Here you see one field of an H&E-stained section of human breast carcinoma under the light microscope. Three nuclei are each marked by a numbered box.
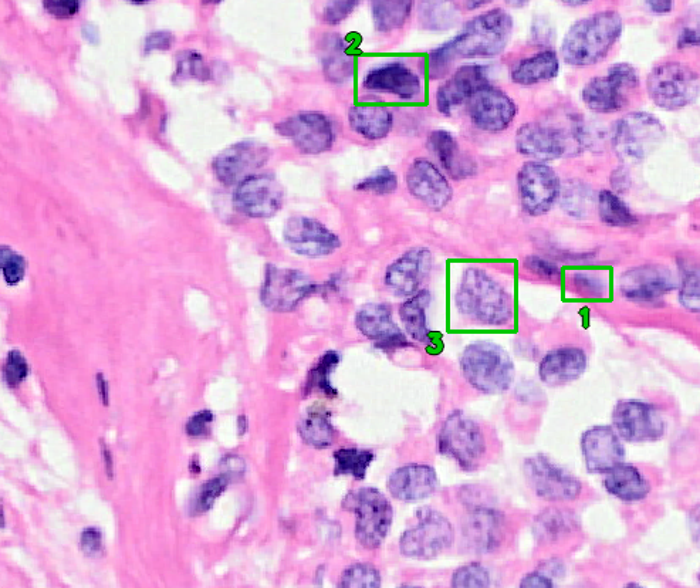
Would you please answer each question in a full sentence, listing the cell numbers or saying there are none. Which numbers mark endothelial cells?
Only one of the numbered nuclei, number 1, belongs to an endothelial cell.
